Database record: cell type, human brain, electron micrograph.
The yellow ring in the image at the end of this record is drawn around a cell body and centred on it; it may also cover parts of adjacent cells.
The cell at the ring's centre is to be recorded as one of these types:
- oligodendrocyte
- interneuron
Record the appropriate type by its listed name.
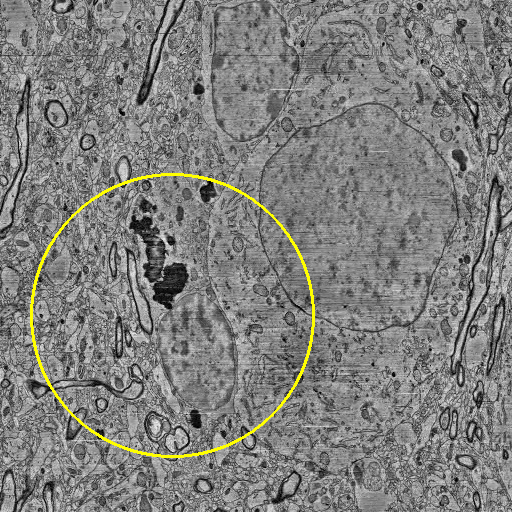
oligodendrocyte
